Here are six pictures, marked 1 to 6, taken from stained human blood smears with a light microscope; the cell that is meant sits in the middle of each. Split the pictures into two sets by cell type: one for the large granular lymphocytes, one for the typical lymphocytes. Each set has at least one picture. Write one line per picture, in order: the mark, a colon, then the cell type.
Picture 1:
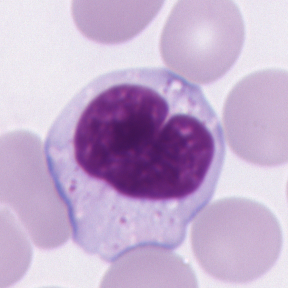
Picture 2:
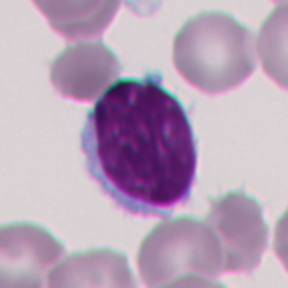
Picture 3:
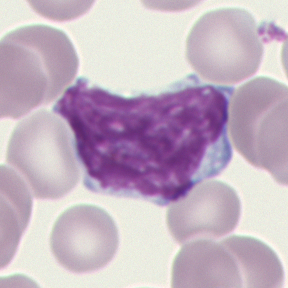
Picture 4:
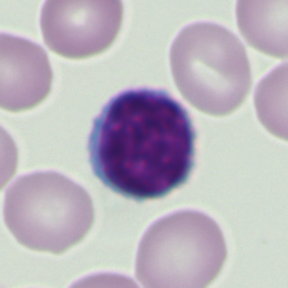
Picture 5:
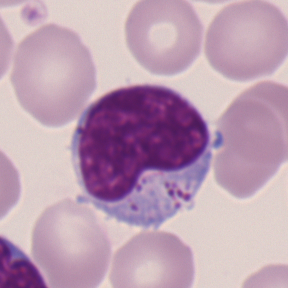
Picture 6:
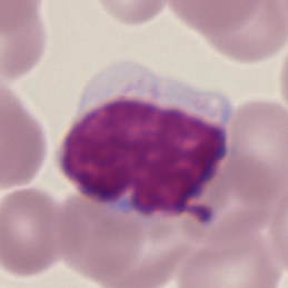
1: large granular lymphocyte
2: typical lymphocyte
3: typical lymphocyte
4: typical lymphocyte
5: large granular lymphocyte
6: large granular lymphocyte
